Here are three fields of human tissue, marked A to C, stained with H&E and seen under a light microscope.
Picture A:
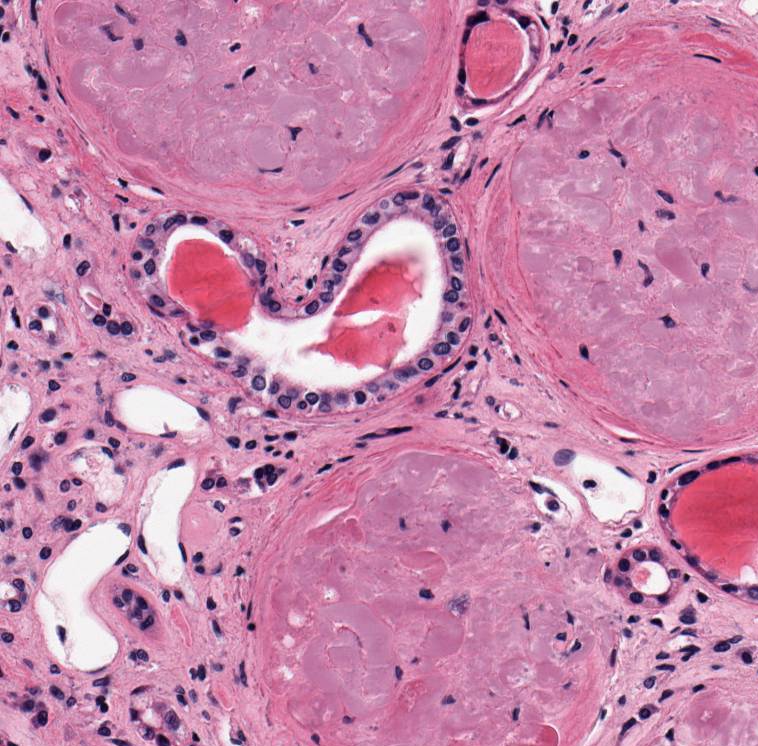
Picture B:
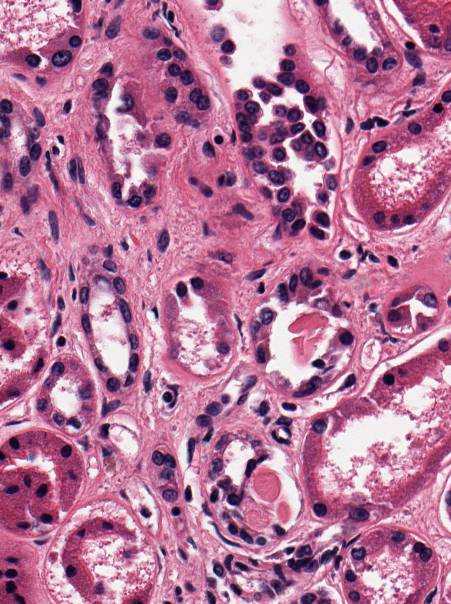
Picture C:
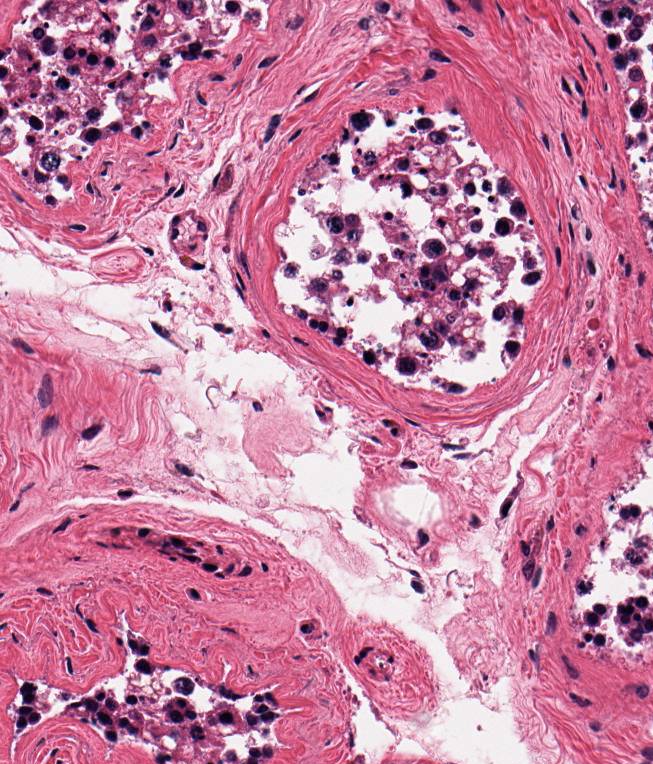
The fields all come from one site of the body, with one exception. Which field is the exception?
C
